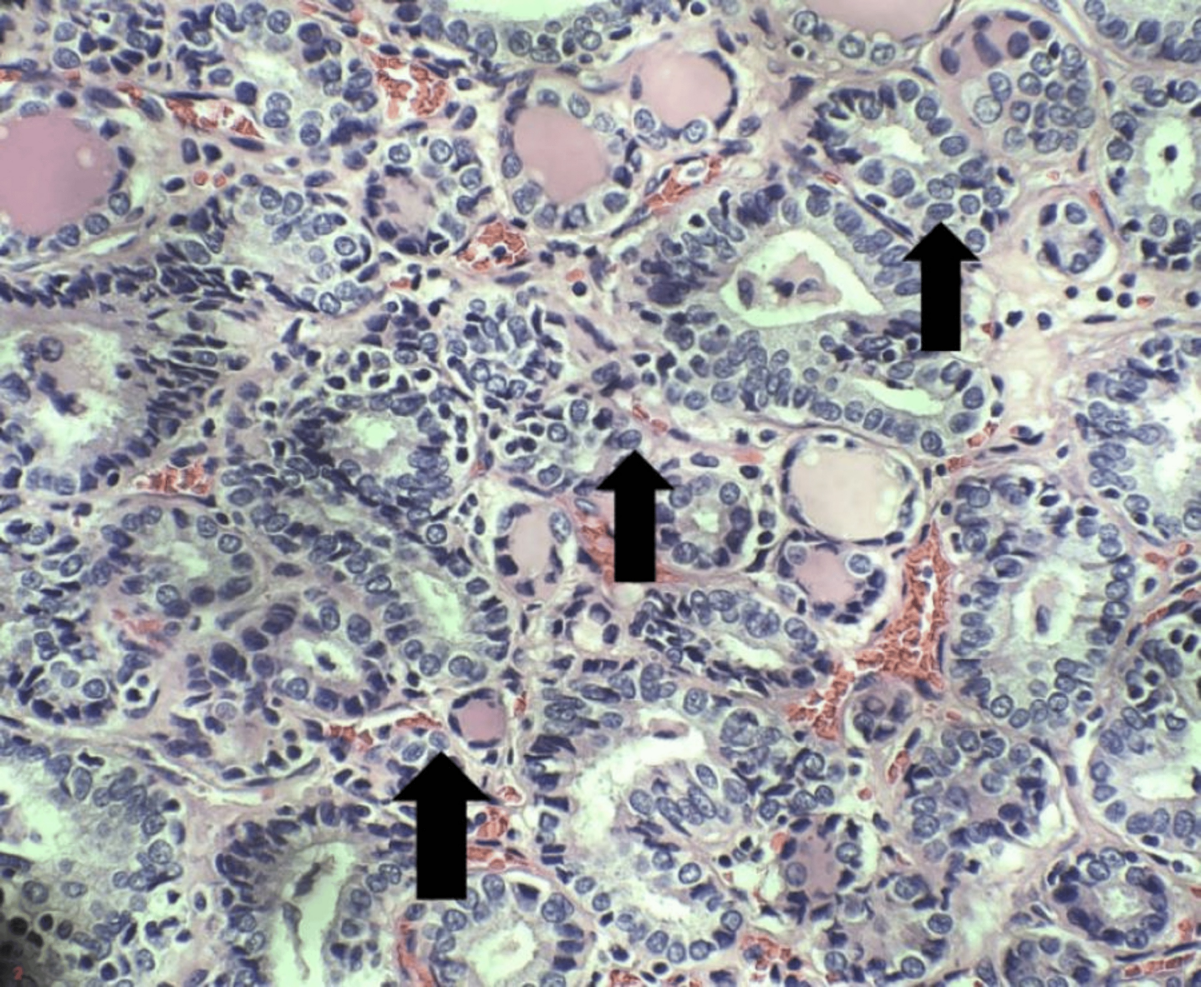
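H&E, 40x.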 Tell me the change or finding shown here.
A: crowded overlapping nuclei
